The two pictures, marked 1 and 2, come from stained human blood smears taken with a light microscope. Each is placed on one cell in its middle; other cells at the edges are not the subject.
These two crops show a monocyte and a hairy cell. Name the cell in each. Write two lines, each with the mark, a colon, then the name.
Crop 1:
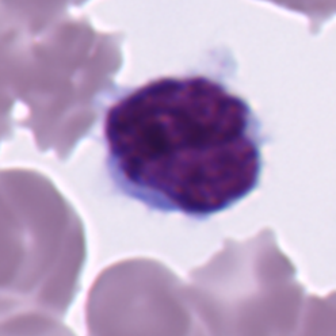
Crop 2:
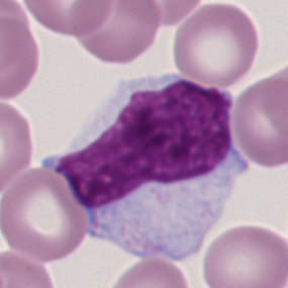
1: hairy cell
2: monocyte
